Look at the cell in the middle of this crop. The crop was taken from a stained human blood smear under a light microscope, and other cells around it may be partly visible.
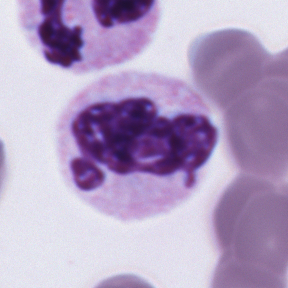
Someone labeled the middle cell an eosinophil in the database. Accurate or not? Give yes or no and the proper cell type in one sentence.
No, the cell positioned in the middle is a neutrophil, not an eosinophil.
